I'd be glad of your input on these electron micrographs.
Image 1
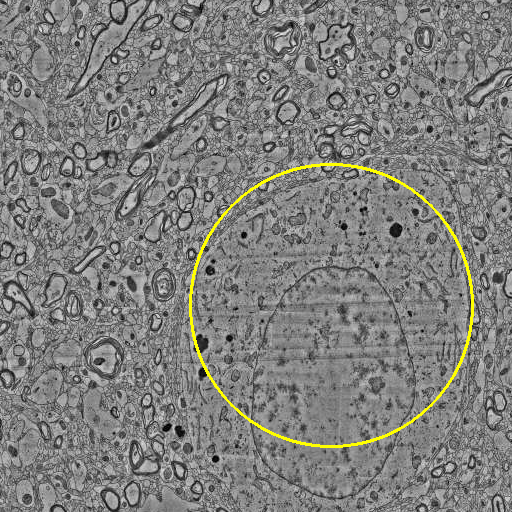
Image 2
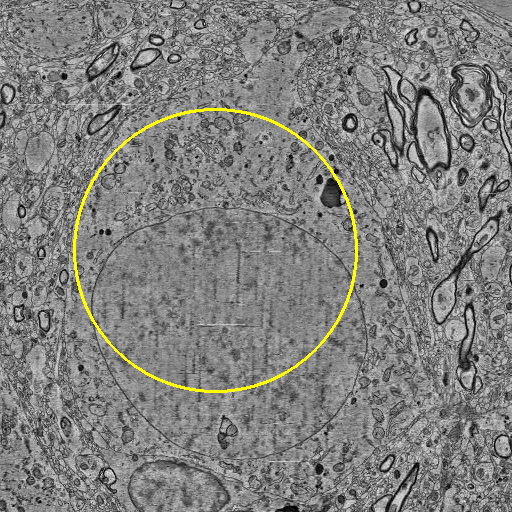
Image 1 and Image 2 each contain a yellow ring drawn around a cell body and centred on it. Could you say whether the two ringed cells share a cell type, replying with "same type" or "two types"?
same type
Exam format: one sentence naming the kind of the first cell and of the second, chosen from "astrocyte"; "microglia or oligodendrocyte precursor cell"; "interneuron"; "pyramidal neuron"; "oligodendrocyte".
Both the first and the second picture show a pyramidal neuron in the ring.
